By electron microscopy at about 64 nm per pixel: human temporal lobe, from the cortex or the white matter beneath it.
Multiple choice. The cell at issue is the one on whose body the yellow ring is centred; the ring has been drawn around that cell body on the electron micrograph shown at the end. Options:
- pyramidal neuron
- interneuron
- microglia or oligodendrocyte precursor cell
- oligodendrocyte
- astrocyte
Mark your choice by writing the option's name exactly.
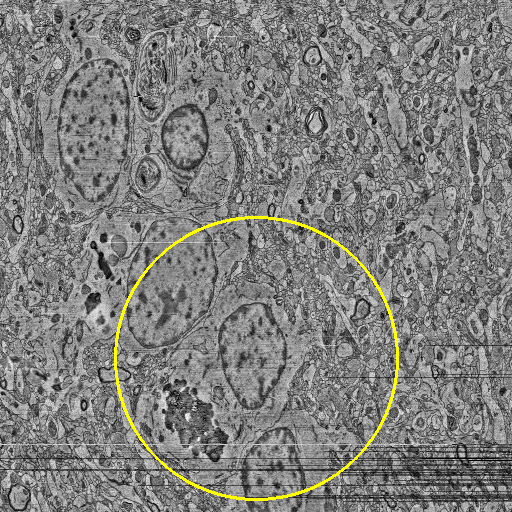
astrocyte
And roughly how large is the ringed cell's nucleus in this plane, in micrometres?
At approximately 7 by 4 micrometres, the nucleus is clearly longer than it is wide in this plane.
